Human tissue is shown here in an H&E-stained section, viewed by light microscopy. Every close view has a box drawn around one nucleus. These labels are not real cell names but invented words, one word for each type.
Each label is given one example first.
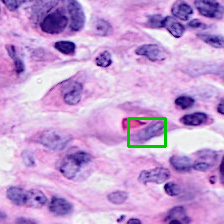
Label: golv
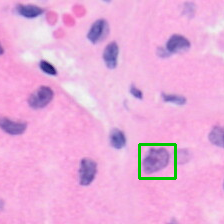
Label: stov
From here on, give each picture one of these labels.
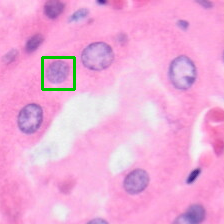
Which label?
stov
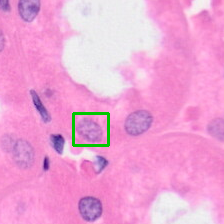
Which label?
stov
